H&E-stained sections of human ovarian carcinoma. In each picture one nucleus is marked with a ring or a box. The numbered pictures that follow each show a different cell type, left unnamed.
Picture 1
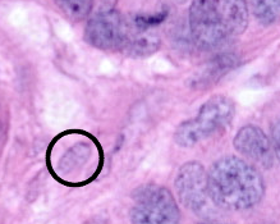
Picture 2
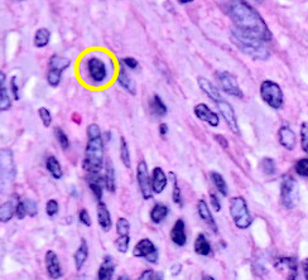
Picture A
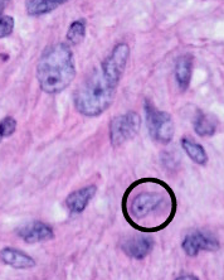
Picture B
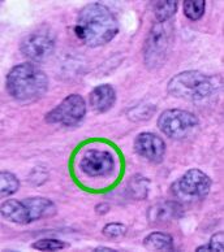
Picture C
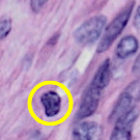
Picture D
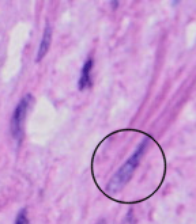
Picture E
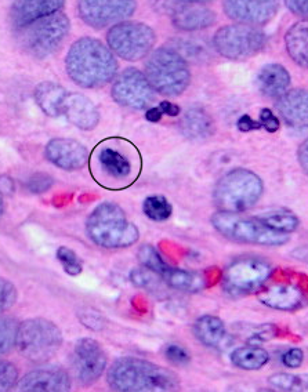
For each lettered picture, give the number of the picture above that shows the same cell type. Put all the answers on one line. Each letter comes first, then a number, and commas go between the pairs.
A 1, B 2, C 2, D 1, E 2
